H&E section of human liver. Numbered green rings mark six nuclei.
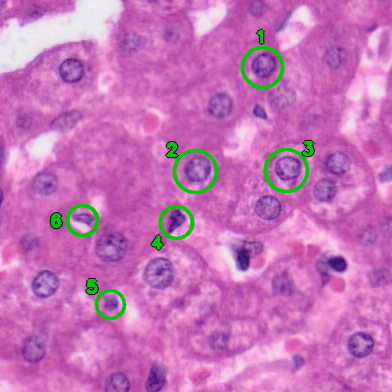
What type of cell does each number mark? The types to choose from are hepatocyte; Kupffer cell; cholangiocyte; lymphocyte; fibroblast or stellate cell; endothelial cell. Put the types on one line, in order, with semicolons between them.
hepatocyte; hepatocyte; hepatocyte; endothelial cell; lymphocyte; endothelial cell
